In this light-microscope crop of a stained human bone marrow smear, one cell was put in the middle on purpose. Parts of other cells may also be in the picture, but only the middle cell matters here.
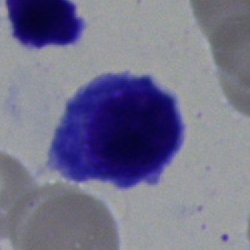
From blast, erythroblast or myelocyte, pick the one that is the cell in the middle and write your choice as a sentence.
The central cell in this smear crop is an erythroblast.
